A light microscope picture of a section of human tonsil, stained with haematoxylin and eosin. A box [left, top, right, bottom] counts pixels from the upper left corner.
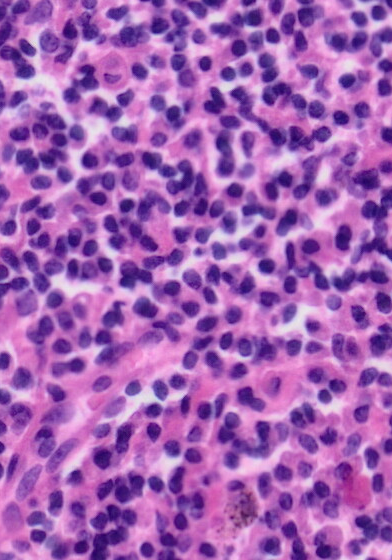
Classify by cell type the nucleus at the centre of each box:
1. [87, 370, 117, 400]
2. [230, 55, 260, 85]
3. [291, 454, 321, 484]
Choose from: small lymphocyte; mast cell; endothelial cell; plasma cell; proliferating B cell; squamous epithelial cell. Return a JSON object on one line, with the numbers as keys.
{"1": "endothelial cell", "2": "small lymphocyte", "3": "plasma cell"}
